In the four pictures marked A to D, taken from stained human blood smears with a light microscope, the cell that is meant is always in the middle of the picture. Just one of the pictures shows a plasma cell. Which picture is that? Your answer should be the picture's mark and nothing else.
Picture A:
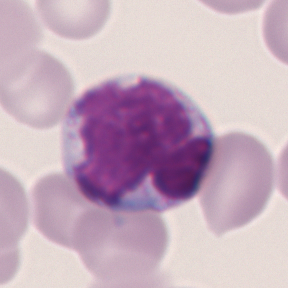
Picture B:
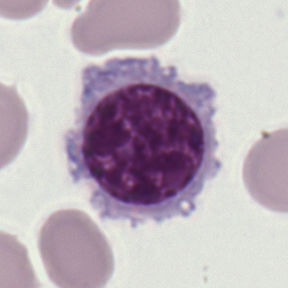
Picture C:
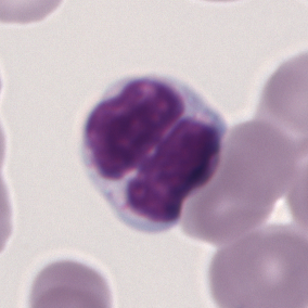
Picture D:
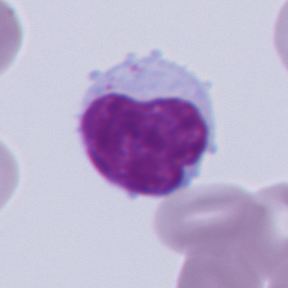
B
